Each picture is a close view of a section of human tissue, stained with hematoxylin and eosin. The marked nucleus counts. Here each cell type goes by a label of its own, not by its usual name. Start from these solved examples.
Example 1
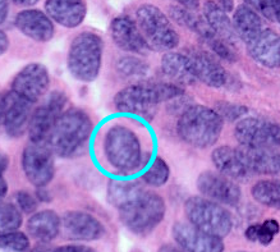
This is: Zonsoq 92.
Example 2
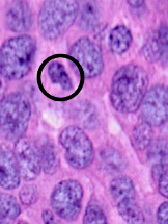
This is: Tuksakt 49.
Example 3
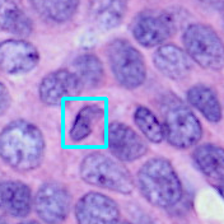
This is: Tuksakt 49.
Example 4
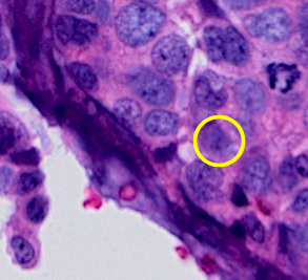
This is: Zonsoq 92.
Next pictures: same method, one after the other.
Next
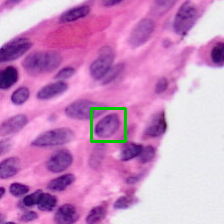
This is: Tuksakt 49.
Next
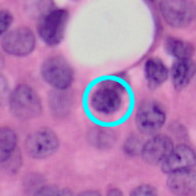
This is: Tuksakt 49.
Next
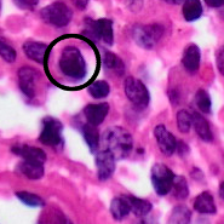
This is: Zonsoq 92.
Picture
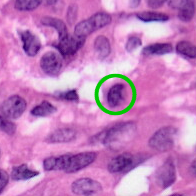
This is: Tuksakt 49.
